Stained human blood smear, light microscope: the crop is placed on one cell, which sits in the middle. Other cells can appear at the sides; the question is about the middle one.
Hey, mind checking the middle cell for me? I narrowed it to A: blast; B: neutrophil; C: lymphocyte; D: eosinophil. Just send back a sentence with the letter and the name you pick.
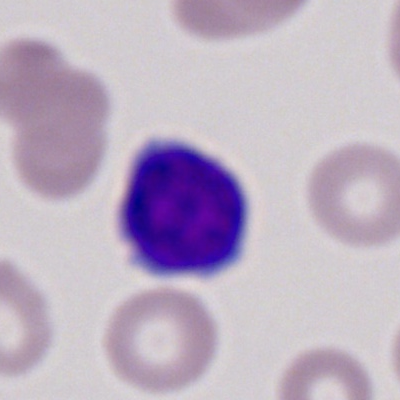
Well, the cell in the middle is a lymphocyte, making option C right.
